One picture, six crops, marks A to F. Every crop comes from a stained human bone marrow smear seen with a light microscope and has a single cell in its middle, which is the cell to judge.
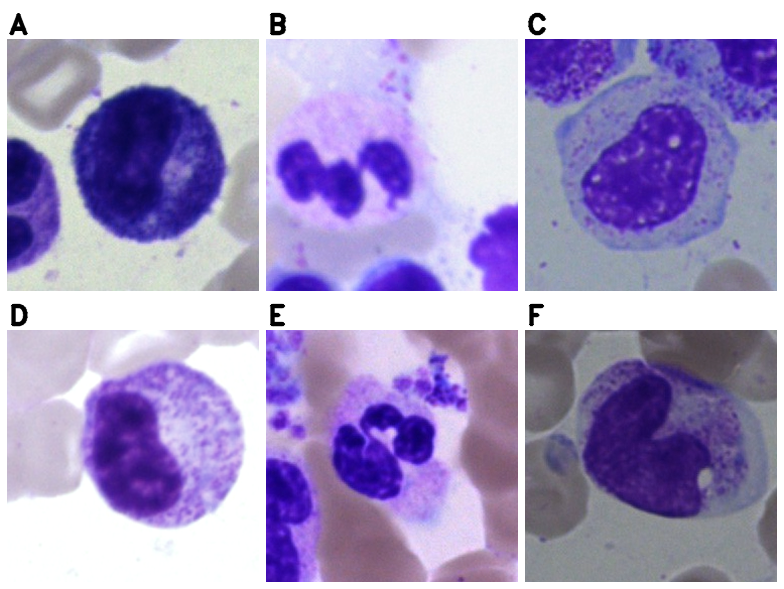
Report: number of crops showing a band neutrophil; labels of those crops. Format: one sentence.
Since not one of the crops shows band neutrophils, the count is zero.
